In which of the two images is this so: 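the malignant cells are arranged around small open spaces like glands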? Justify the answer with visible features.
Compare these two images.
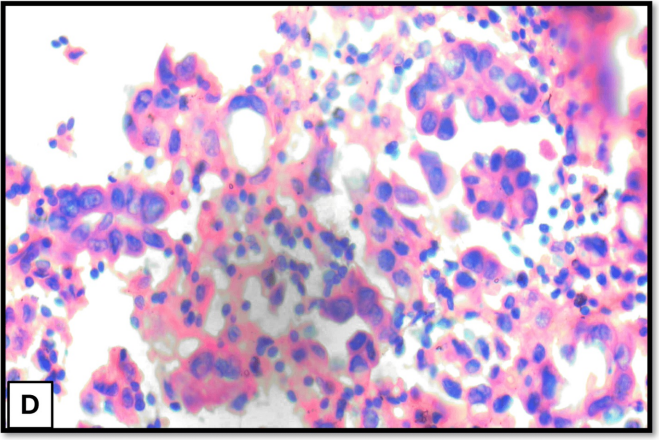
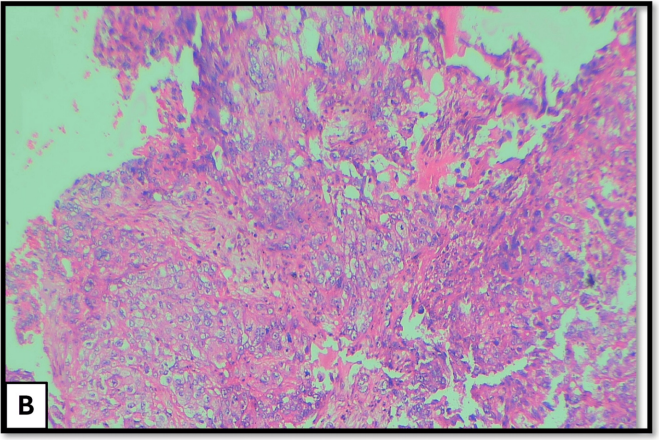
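First image: large cells line small rounded open spaces.
Hence: the first image.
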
